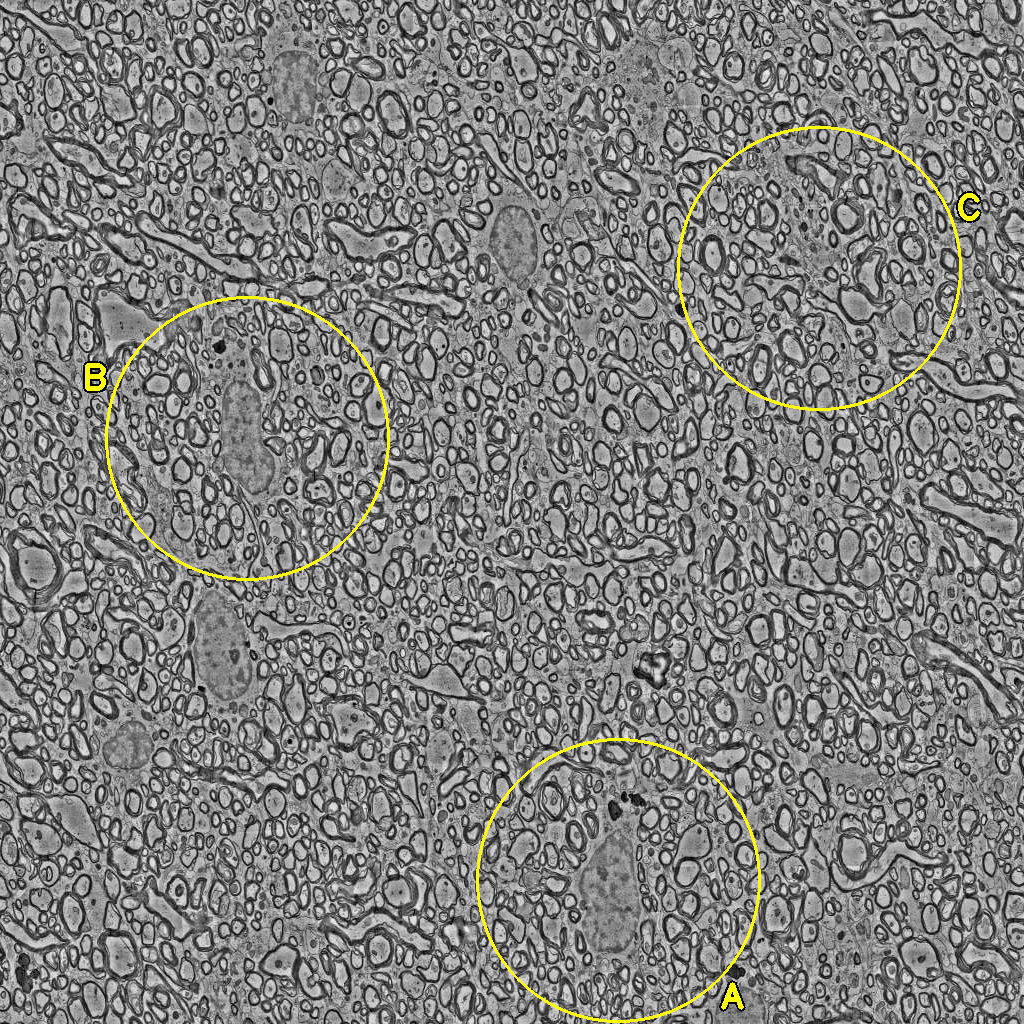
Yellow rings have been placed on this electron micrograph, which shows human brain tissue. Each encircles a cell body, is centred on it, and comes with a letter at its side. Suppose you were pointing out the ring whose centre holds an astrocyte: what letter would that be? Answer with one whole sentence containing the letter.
The ring I would point to, centred on the cell in question, is C.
